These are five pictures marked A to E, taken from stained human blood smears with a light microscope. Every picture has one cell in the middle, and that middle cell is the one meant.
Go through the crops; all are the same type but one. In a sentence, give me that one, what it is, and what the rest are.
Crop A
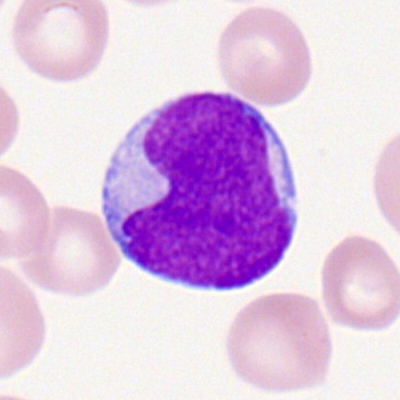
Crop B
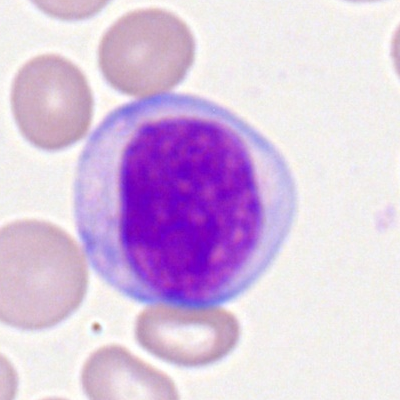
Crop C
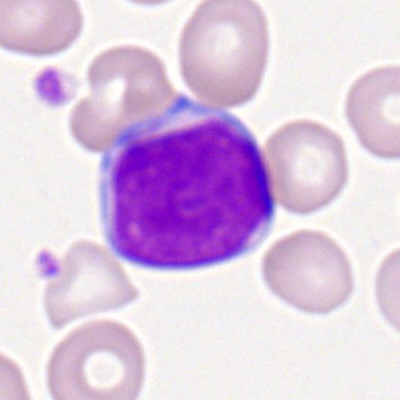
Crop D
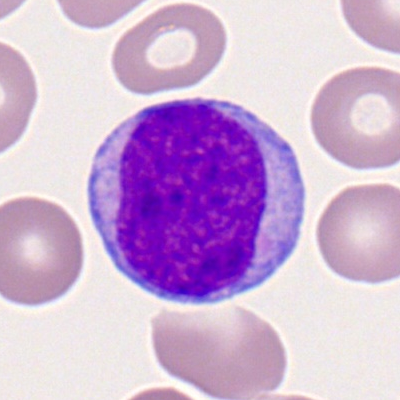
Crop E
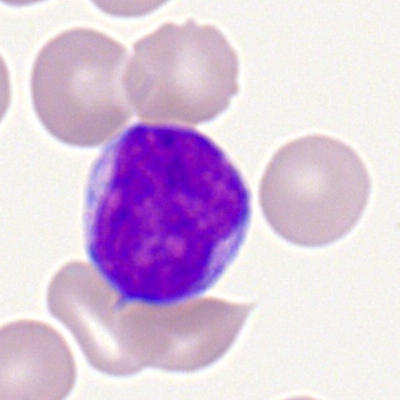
Where the others show myeloblasts, crop B shows a lymphocyte.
